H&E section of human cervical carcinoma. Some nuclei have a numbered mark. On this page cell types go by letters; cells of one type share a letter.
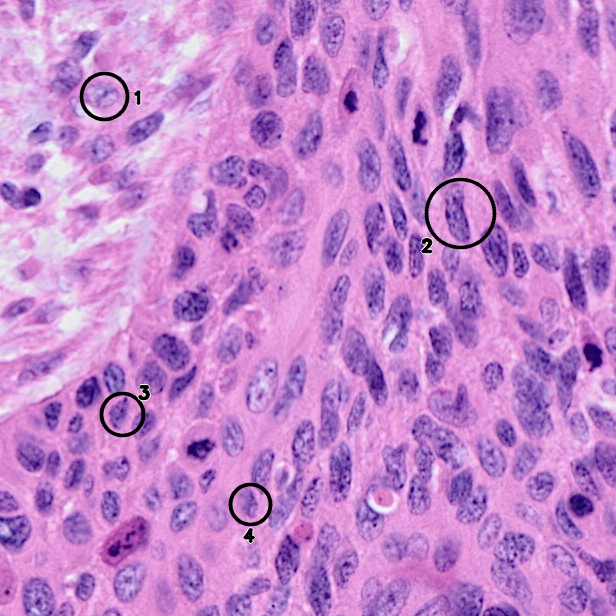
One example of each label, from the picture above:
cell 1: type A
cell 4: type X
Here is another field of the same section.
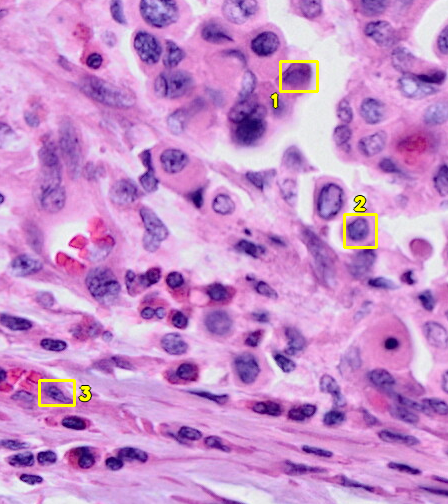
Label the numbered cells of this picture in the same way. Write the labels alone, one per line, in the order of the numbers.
type X
type X
type A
